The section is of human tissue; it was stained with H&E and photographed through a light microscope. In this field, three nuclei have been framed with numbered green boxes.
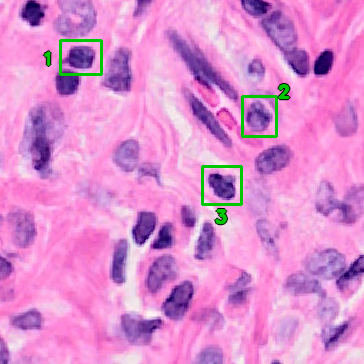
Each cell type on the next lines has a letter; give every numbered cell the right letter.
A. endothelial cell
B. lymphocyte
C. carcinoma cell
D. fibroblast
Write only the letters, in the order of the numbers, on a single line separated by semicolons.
B; A; B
